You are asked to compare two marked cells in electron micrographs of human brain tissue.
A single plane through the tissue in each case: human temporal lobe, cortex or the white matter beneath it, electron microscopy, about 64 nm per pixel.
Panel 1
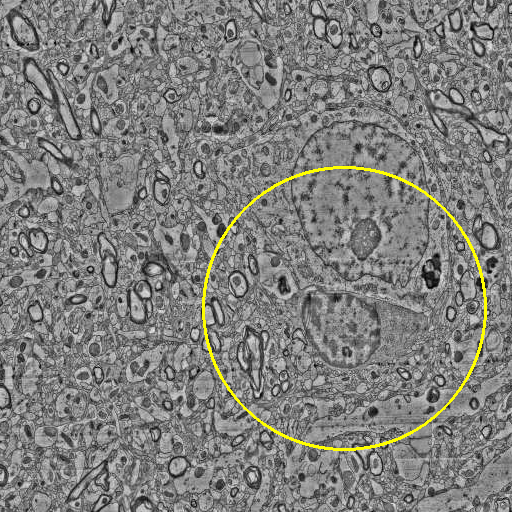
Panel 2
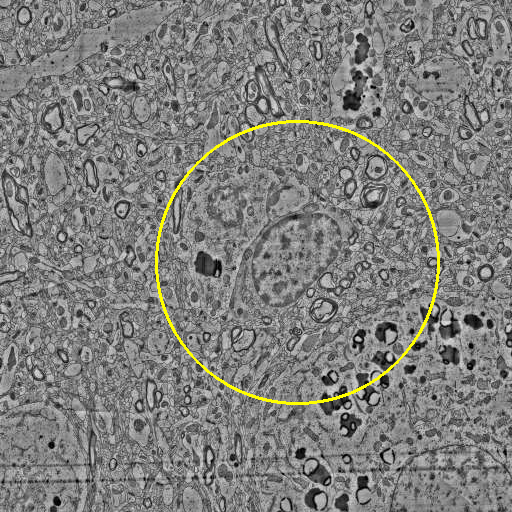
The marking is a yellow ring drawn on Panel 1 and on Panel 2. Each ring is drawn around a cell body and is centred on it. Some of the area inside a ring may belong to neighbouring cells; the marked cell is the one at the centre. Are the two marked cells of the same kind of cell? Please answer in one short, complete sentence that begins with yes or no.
Yes, the two marked cells are of the same kind.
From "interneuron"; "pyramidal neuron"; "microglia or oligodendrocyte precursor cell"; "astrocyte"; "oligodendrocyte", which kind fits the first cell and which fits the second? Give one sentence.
Each cell at the centre of a ring is an oligodendrocyte.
